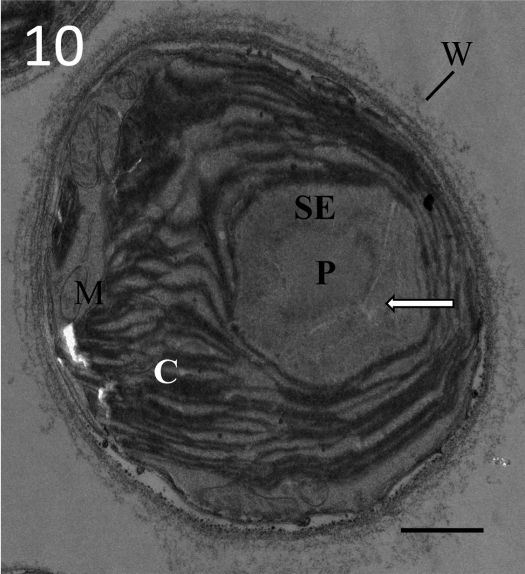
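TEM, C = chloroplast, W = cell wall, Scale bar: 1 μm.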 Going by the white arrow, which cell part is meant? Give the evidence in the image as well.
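The arrow points to a thin straight line running into the homogeneous matrix of the large central body labelled P. The large central body is surrounded by stacked dark membrane bands. On this evidence: thylakoids penetrating into the pyrenoid matrix.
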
